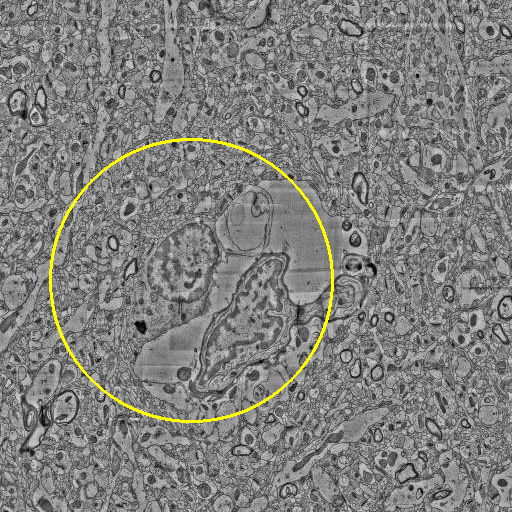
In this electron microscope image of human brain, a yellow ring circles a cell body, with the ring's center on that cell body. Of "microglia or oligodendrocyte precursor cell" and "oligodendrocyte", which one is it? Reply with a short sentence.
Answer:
It is an oligodendrocyte at the center of the ring.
